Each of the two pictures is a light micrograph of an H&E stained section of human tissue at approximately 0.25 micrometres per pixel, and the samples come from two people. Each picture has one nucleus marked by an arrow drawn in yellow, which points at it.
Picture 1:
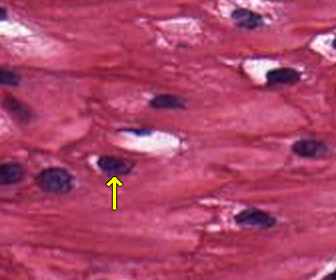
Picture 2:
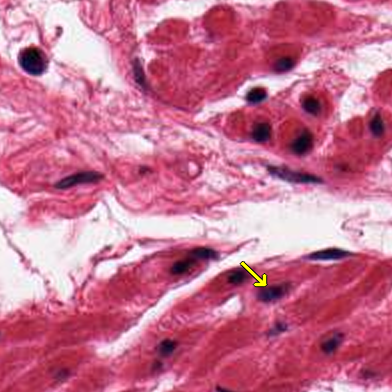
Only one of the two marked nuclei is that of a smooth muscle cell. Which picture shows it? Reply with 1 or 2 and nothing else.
2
